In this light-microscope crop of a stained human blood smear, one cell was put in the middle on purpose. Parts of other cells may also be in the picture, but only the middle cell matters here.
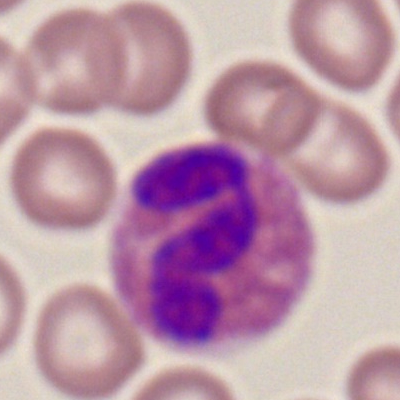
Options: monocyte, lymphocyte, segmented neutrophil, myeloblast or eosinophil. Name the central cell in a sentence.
The cell nearest the centre of this crop is an eosinophil.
